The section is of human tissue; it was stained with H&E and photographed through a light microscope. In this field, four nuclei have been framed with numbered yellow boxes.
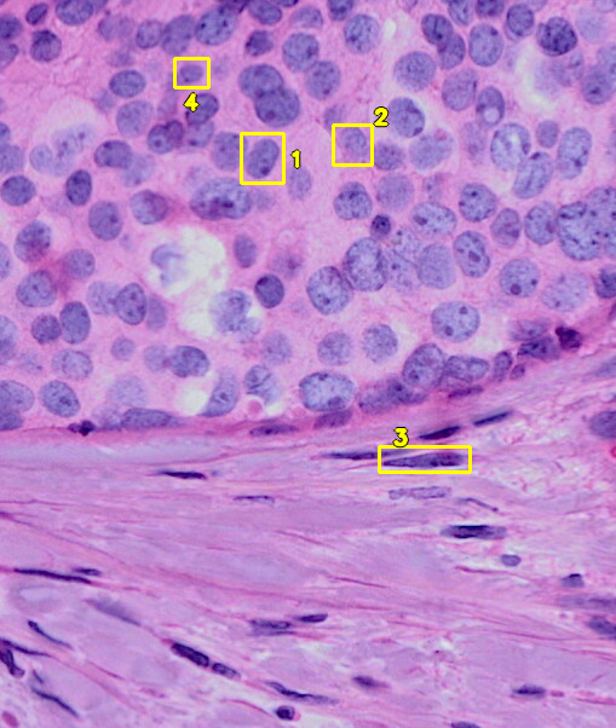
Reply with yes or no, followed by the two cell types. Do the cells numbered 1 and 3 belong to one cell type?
No, the correct reading has cell 1 as a carcinoma cell and cell 3 as a fibroblast.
